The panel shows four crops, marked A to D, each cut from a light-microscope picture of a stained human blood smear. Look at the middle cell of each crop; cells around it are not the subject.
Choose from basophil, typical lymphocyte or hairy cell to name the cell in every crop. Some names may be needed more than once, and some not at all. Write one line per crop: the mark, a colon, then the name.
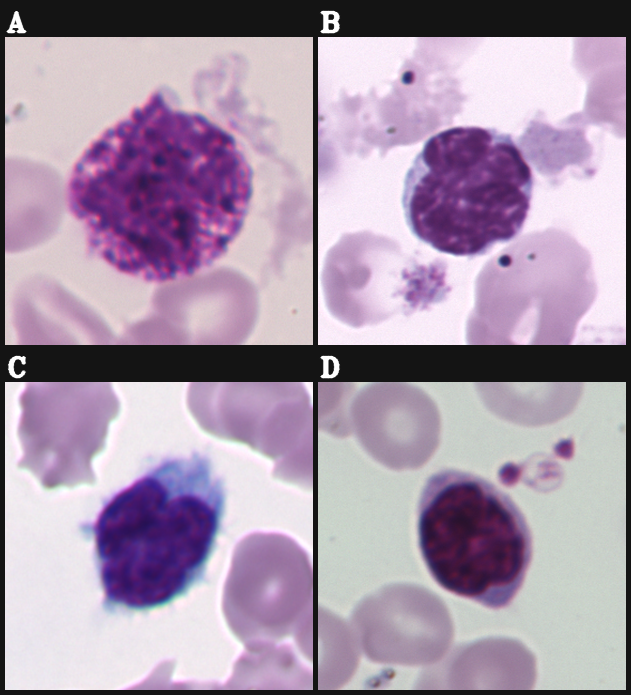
A: basophil
B: typical lymphocyte
C: hairy cell
D: typical lymphocyte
